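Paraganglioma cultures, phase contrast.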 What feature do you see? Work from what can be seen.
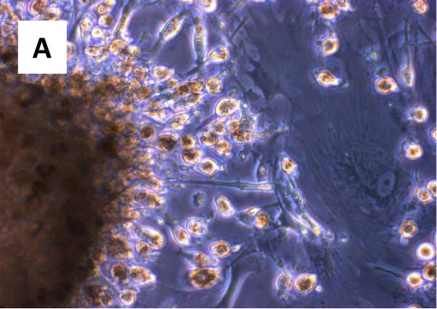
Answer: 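A dense dark multicellular aggregate occupies the left edge. Many cells spread out from the margin of the aggregate.
Answer: cell masses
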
